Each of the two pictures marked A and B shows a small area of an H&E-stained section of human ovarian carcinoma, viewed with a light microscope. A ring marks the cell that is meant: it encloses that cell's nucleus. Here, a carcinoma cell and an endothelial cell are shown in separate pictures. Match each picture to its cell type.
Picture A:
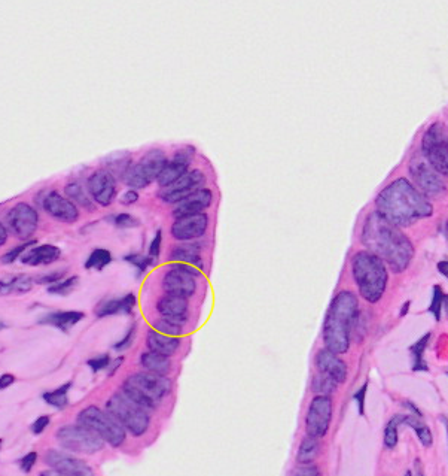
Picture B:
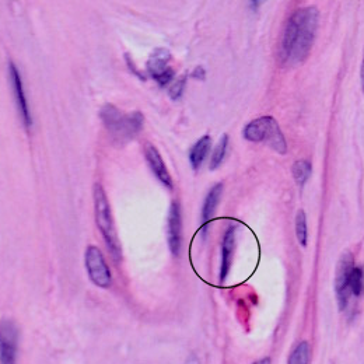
A: carcinoma cell
B: endothelial cell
